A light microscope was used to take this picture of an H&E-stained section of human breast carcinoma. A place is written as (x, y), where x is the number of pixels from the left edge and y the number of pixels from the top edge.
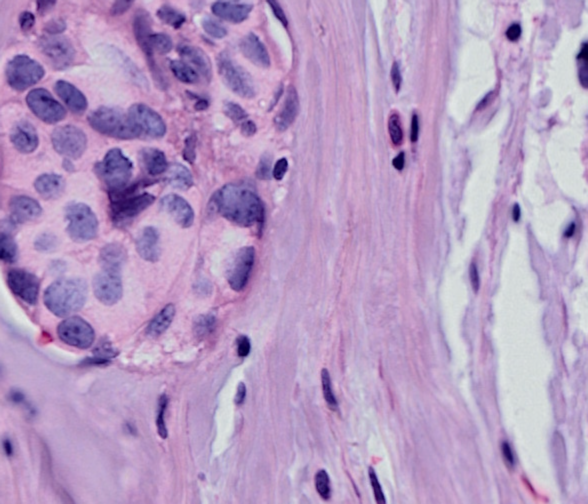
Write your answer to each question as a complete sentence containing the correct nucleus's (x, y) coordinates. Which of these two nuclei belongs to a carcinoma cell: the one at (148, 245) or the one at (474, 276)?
Among the two nuclei, the one lying at (148, 245) is part of a carcinoma cell.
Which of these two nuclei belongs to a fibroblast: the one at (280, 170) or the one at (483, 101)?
The nucleus at (483, 101) is part of a fibroblast, while the other is not.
